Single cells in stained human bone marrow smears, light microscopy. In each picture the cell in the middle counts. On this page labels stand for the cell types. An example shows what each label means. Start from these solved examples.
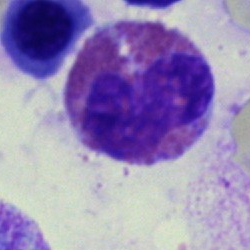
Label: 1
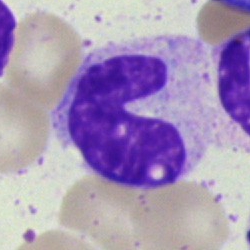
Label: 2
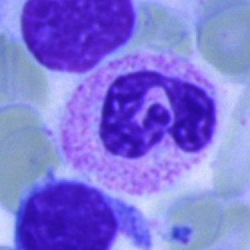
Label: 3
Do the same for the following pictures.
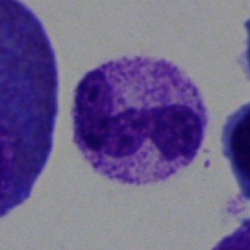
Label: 3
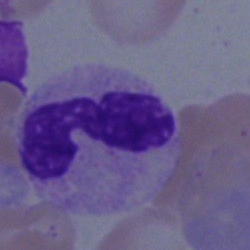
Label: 3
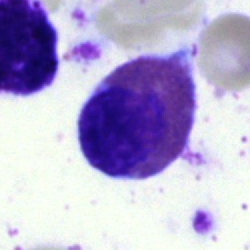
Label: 1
